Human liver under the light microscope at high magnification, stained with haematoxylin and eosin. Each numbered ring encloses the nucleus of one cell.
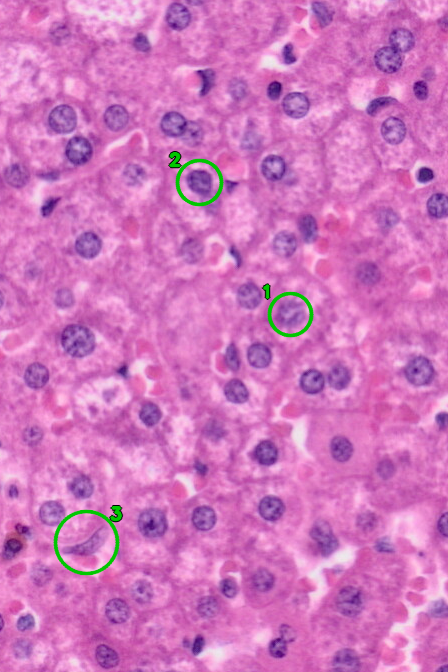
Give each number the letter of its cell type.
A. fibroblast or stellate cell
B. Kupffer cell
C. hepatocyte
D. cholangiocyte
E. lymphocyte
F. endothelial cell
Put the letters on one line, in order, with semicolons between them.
C; C; B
